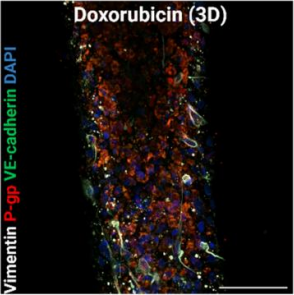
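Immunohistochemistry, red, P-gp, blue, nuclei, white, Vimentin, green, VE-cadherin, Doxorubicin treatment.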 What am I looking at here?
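White and green threads and outlines are seen mainly along the edges of the strip. The cells look rounded and closely packed rather than drawn out into long fibres.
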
